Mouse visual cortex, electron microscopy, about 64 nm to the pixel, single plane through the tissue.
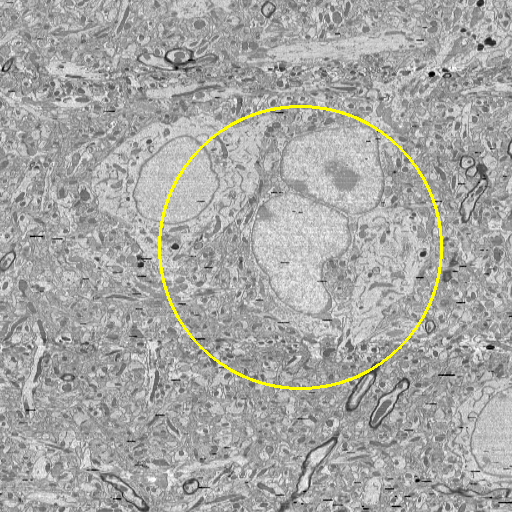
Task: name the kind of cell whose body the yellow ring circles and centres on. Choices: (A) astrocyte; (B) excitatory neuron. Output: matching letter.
A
